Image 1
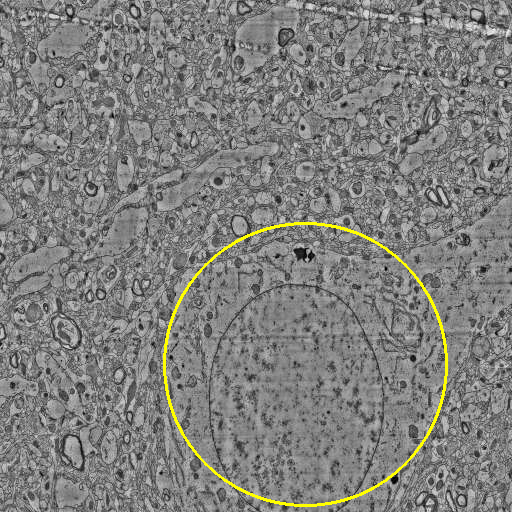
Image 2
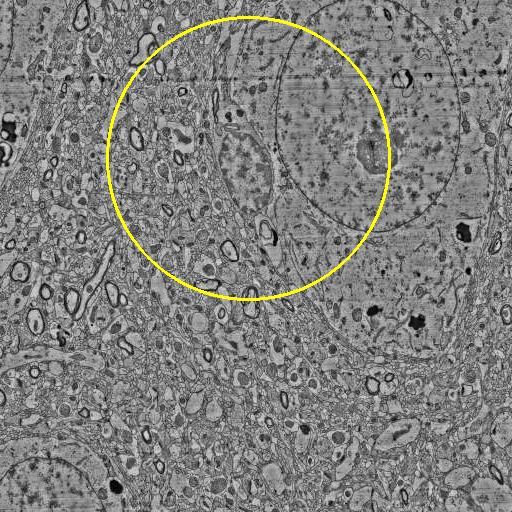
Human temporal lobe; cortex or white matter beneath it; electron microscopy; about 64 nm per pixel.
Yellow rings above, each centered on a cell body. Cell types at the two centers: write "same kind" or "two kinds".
two kinds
